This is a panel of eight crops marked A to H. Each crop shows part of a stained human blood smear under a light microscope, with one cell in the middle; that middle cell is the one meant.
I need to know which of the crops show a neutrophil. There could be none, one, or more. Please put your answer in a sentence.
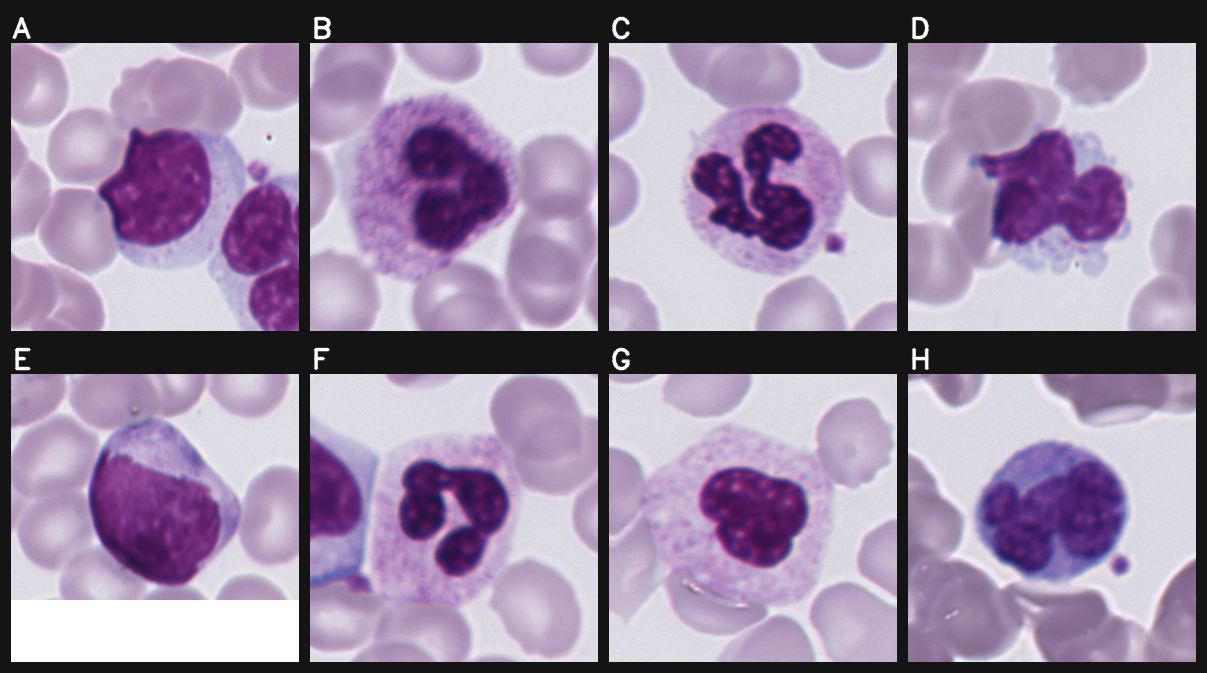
Crops B, C, F and G have neutrophils sitting at their centres.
